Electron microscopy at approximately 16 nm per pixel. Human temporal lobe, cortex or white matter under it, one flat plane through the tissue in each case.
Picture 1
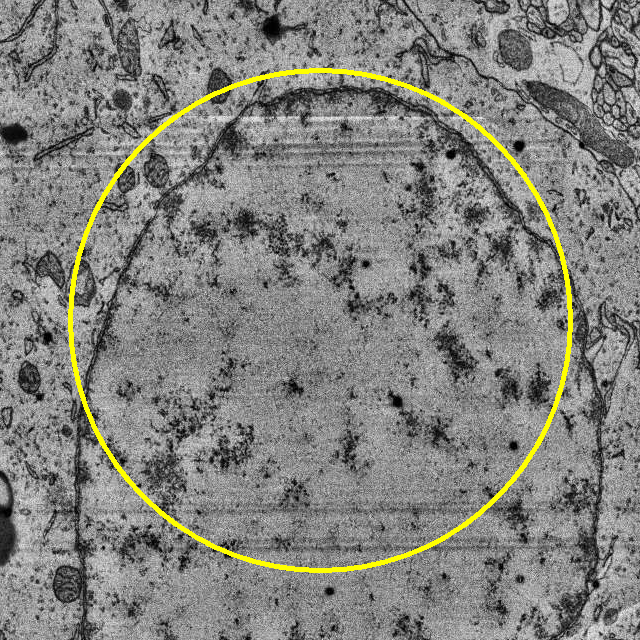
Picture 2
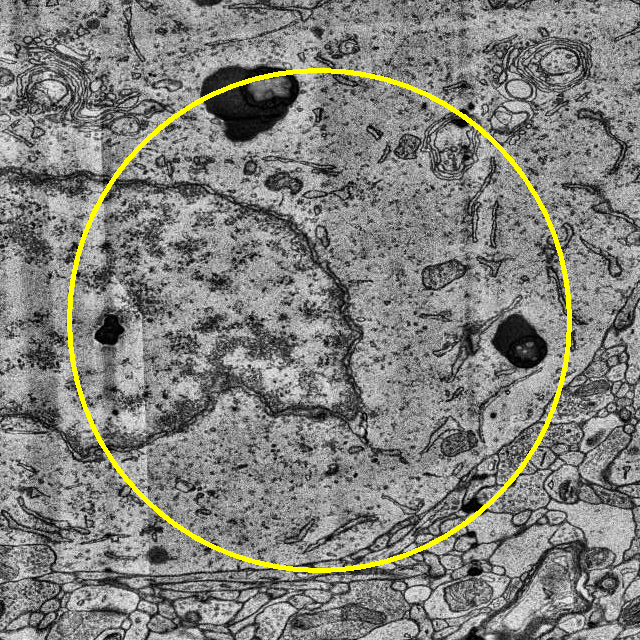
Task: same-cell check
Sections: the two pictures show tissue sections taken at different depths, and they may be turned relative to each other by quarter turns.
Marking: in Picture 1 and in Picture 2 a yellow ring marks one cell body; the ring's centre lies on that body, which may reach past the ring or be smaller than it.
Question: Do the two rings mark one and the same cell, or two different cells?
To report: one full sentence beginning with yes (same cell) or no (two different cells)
Yes, one cell accounts for both of the yellow rings.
